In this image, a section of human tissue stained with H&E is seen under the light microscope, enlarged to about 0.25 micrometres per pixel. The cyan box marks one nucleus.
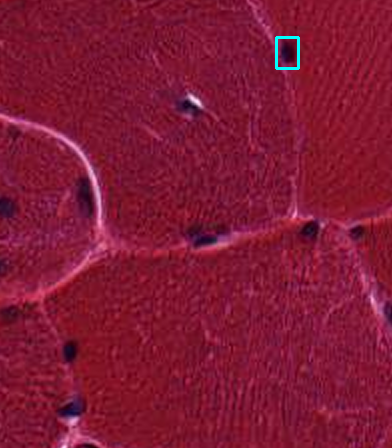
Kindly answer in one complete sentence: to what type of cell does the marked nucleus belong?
What the marked nucleus belongs to is a skeletal muscle fibre.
